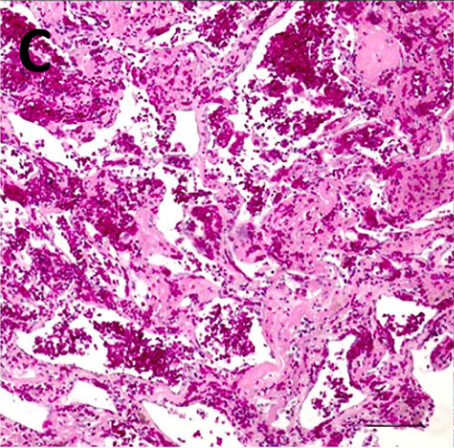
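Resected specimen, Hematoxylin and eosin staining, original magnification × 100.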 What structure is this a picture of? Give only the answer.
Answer: blood-filled vascular cavities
